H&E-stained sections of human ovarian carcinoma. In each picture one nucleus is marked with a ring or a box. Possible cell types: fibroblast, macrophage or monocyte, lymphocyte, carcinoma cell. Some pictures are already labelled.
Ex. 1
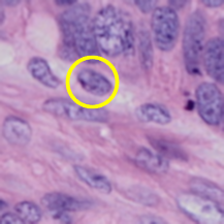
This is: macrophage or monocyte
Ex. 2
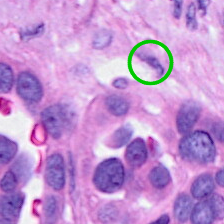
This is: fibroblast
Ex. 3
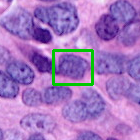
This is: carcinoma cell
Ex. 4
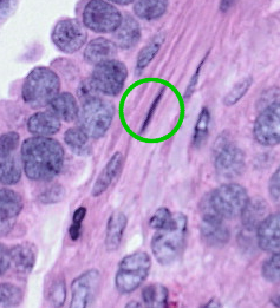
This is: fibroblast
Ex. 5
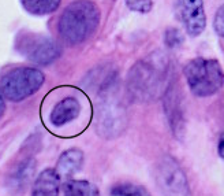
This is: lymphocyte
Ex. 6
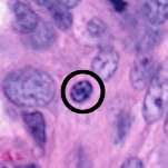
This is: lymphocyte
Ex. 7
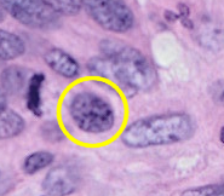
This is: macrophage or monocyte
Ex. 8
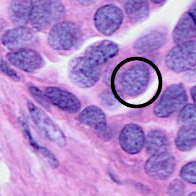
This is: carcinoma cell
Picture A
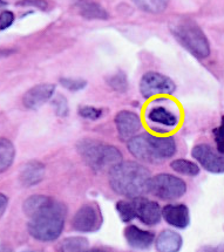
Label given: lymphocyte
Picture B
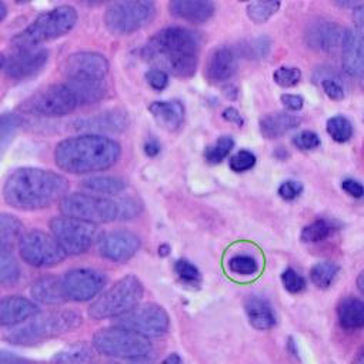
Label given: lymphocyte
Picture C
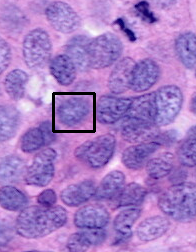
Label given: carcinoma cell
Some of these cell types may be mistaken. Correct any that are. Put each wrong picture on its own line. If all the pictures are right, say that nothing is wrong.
Nothing to fix; every label fits.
